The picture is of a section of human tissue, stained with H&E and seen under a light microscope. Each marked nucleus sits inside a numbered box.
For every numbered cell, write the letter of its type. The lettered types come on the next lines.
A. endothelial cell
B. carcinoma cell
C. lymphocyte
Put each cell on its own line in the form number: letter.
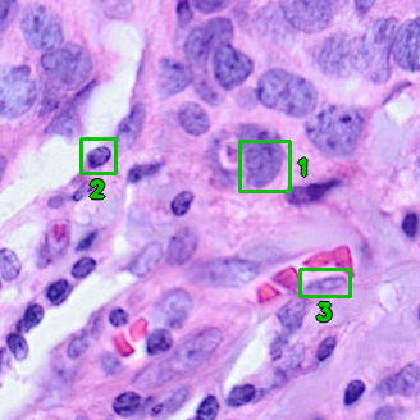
1: B
2: C
3: A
